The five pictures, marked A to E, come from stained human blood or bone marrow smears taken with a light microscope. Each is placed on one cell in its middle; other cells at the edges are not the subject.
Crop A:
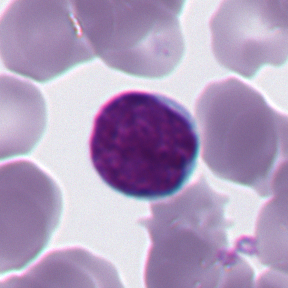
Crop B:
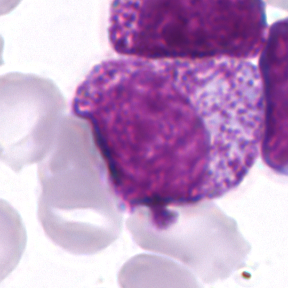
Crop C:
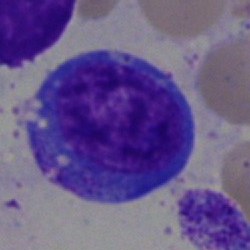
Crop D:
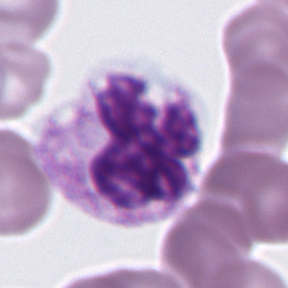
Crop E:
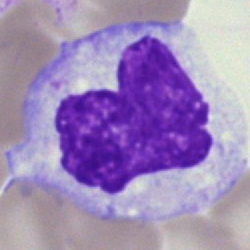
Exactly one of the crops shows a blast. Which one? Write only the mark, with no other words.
C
